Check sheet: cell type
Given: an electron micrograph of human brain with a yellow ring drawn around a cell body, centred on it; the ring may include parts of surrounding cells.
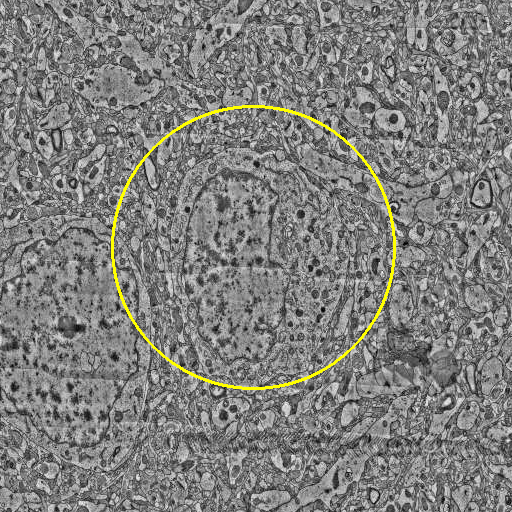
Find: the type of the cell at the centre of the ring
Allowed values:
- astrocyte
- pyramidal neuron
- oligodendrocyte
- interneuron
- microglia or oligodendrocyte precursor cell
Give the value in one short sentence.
Here the ringed cell is an interneuron.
